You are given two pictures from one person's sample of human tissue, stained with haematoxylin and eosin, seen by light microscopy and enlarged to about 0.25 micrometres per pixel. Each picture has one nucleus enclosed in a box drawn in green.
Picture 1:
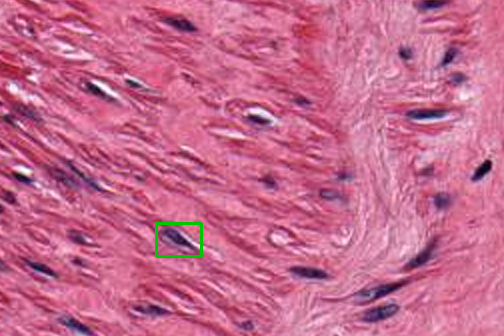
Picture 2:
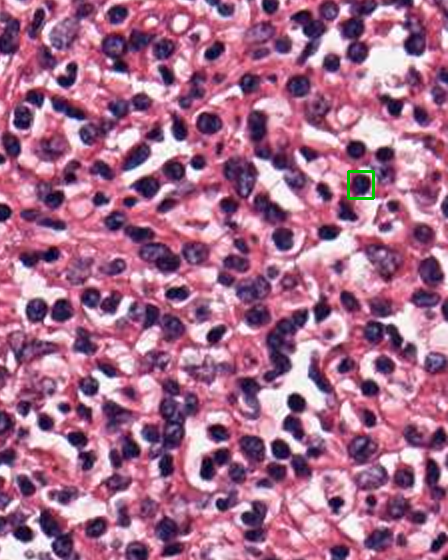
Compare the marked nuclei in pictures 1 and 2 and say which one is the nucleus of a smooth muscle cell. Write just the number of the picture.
1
